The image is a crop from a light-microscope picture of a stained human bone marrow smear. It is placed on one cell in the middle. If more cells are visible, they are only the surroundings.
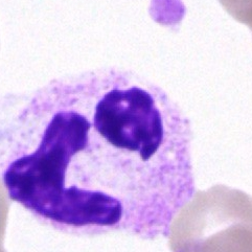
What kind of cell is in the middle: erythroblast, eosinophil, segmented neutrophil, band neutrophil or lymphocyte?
segmented neutrophil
